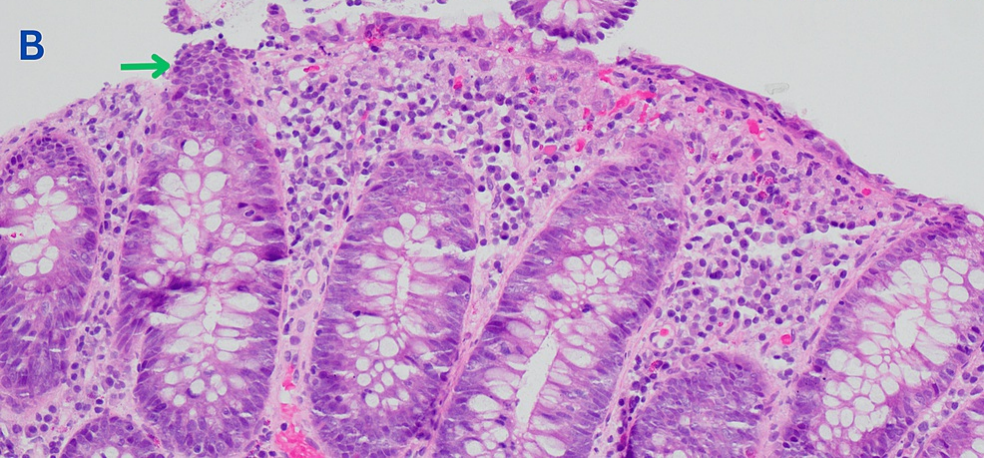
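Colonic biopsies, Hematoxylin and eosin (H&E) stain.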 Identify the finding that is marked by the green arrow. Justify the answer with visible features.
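The arrow points to a stretch of surface epithelium crowded with small dark round nuclei. These small round nuclei lie among the columnar epithelial cells. On this evidence: increased intraepithelial lymphocytes.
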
